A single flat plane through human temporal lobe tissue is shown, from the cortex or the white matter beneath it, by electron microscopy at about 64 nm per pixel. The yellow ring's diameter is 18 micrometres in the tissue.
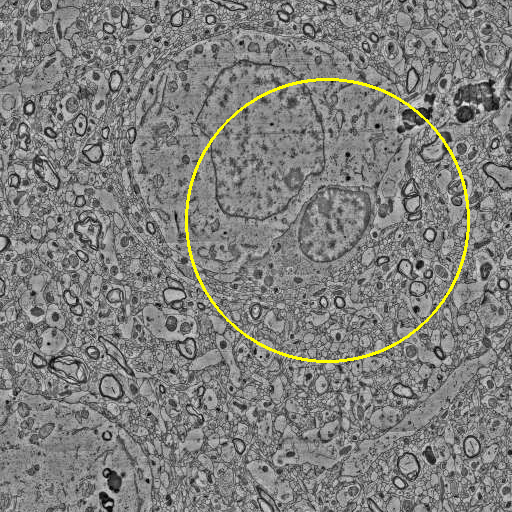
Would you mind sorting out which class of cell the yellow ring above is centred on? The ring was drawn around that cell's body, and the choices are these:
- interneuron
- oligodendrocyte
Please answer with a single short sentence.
This is the cell body of an oligodendrocyte.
